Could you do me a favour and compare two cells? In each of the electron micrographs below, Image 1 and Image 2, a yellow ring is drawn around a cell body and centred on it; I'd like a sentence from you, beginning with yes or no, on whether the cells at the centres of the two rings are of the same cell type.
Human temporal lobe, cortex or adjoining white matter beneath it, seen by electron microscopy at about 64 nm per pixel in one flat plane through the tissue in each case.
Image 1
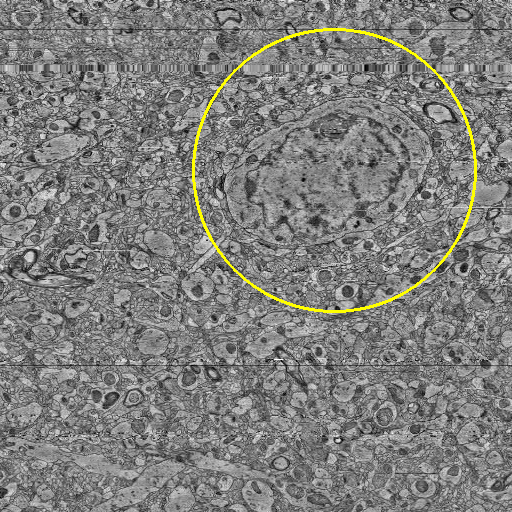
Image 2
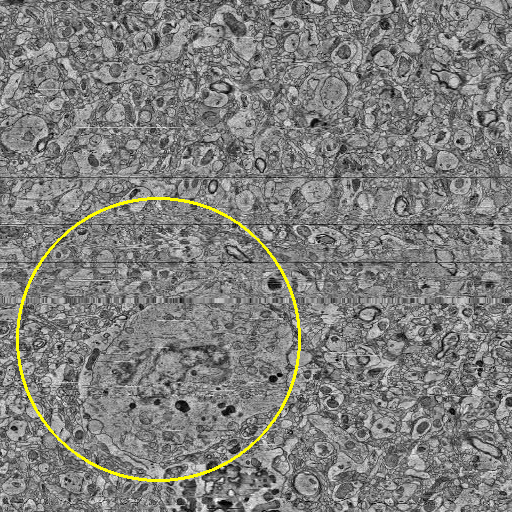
Yes, the two cells are of the same cell type.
